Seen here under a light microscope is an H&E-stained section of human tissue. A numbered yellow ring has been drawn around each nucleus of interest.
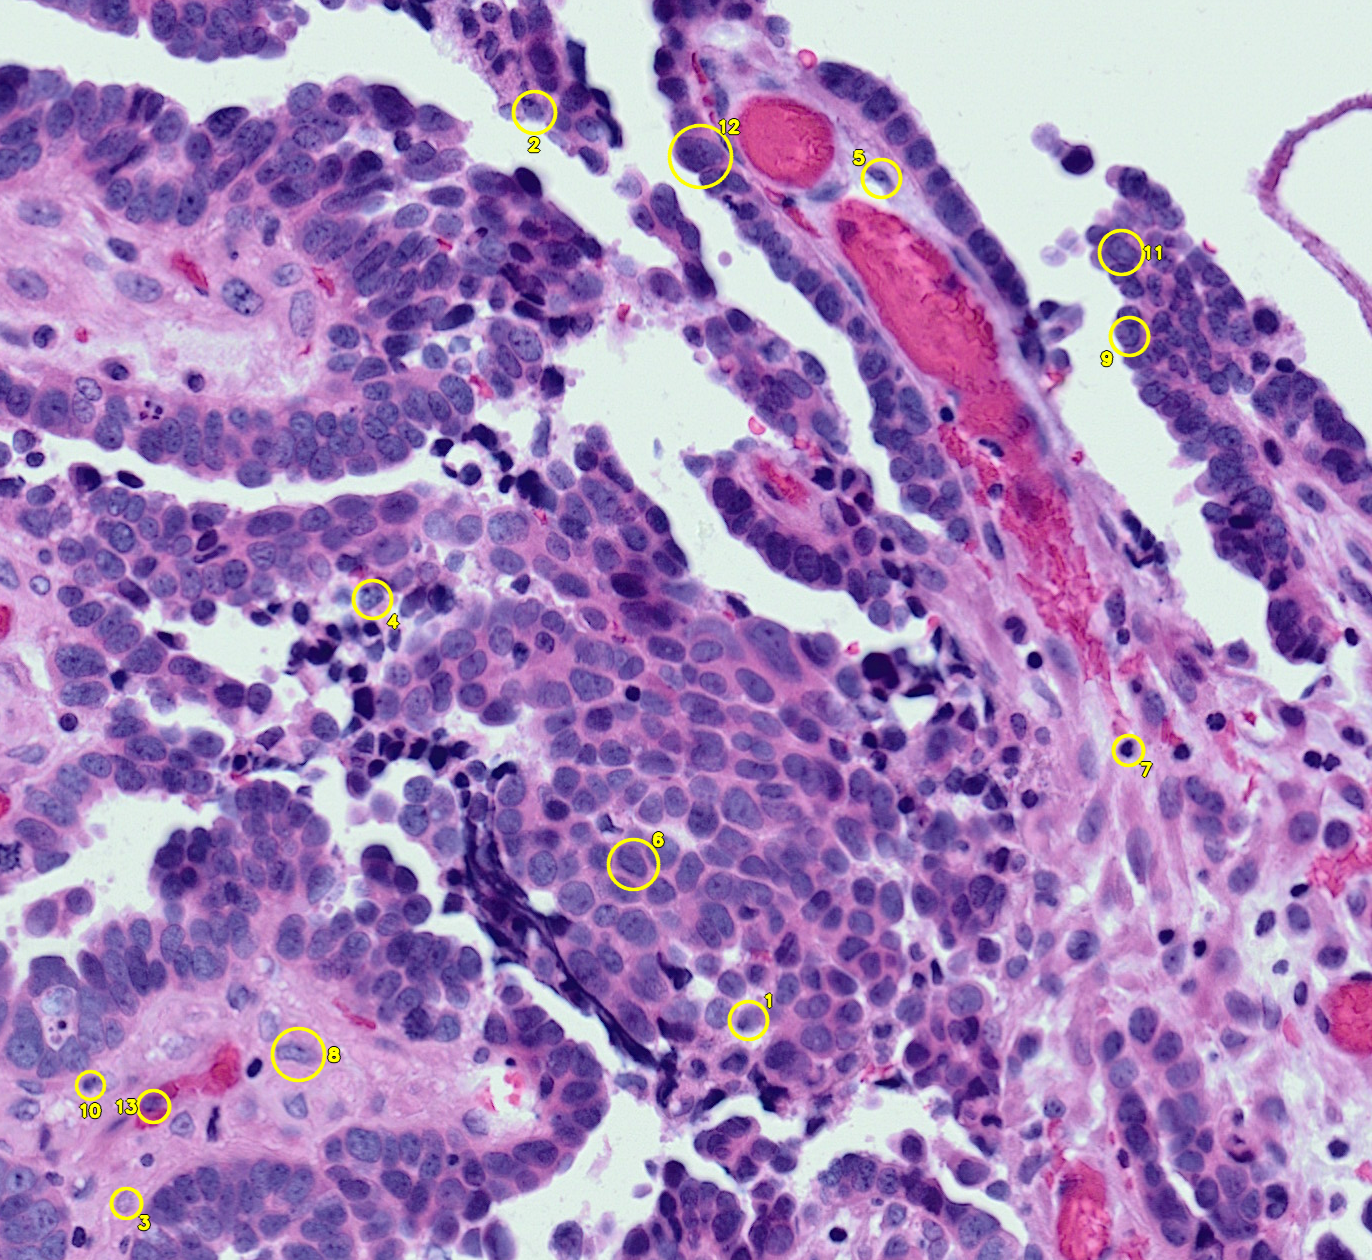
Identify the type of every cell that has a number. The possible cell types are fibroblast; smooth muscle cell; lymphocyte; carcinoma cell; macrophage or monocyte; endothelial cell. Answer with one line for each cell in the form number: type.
1: carcinoma cell
2: macrophage or monocyte
3: fibroblast
4: macrophage or monocyte
5: fibroblast
6: carcinoma cell
7: lymphocyte
8: fibroblast
9: carcinoma cell
10: lymphocyte
11: carcinoma cell
12: carcinoma cell
13: endothelial cell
